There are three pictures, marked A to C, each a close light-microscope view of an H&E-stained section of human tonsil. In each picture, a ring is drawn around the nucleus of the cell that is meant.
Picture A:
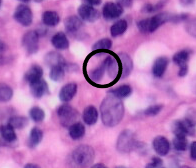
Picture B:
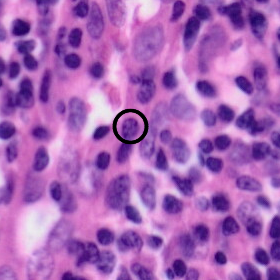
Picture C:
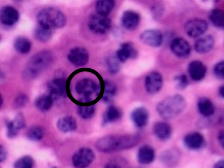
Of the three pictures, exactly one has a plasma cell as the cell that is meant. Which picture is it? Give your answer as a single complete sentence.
The cell in picture C is the plasma cell.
